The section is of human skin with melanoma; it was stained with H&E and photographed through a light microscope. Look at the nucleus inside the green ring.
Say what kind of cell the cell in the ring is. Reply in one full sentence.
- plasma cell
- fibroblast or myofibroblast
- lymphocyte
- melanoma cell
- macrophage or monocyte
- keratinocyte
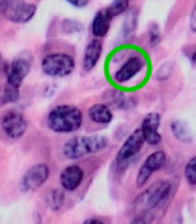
In cellular terms, the cell in the ring is a plasma cell.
